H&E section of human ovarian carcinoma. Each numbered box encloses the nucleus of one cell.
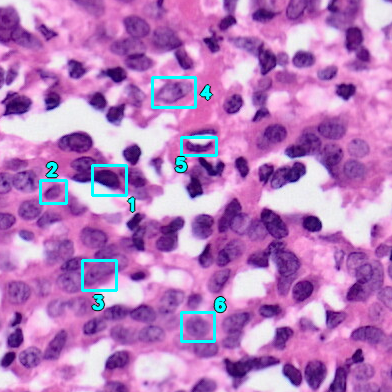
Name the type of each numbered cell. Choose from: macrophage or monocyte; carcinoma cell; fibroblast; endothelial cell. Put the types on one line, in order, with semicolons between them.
carcinoma cell; carcinoma cell; carcinoma cell; macrophage or monocyte; endothelial cell; carcinoma cell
